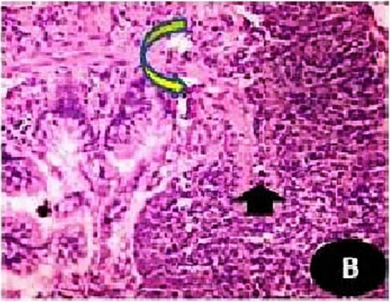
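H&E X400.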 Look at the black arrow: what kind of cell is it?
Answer: chronic inflammatory cells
